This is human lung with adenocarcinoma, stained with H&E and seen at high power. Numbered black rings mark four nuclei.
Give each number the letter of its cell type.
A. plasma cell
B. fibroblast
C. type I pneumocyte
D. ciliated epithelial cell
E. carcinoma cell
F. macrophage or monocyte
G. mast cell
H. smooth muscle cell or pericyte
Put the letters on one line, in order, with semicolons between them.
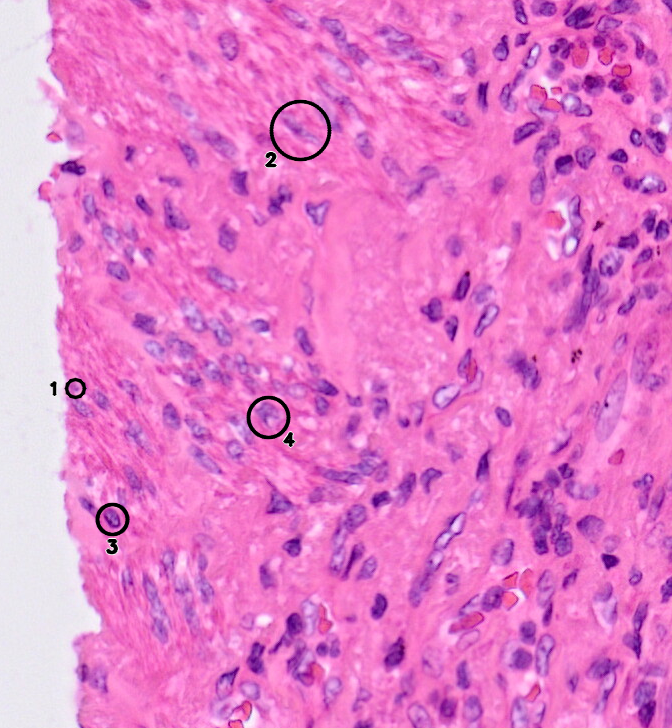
H; H; G; H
